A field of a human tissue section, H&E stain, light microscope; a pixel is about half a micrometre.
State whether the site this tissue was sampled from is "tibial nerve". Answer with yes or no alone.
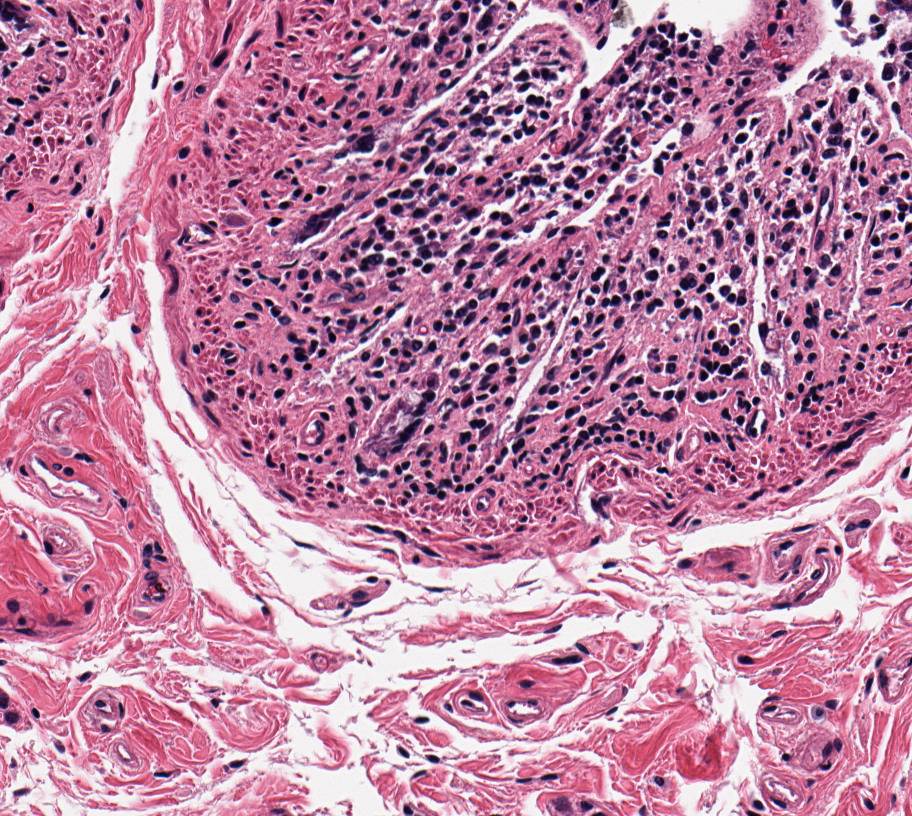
no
